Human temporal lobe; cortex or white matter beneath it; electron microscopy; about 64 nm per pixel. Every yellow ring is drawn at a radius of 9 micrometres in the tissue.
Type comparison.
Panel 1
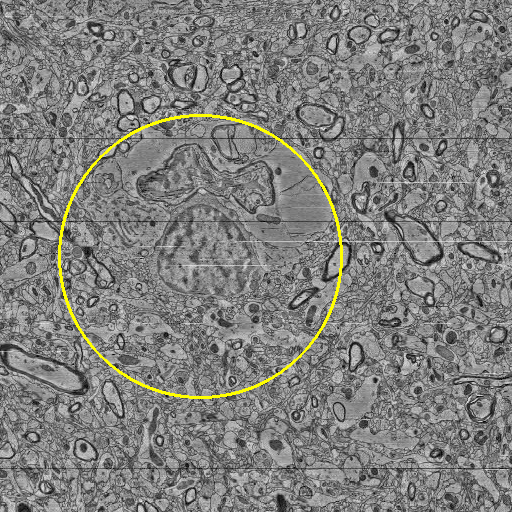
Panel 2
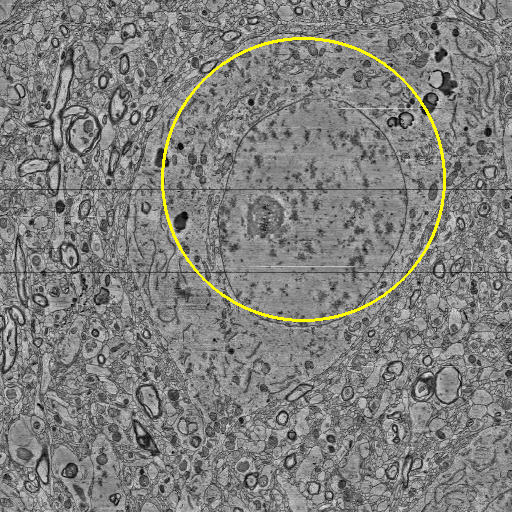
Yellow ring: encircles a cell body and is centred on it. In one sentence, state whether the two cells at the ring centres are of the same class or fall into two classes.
In these panels, the two cells at the ring centres fall into two classes.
